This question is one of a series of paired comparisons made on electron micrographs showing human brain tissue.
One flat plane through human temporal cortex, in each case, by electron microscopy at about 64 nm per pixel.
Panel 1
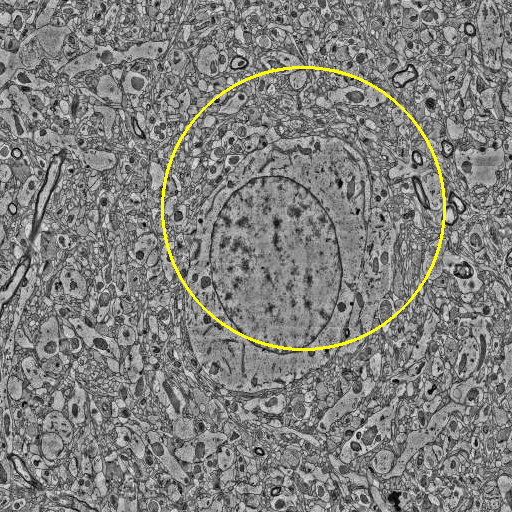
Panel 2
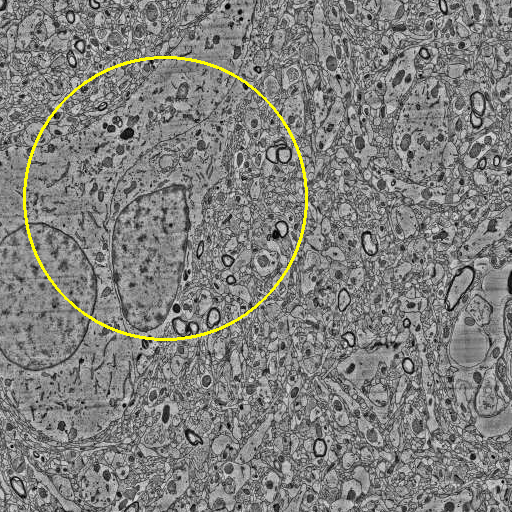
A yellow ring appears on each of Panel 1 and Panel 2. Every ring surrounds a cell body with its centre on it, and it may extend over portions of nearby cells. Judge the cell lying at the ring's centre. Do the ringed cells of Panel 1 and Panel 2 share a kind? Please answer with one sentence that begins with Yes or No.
No, the ring-centre cell in Panel 1 and the one in Panel 2 are of two kinds.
